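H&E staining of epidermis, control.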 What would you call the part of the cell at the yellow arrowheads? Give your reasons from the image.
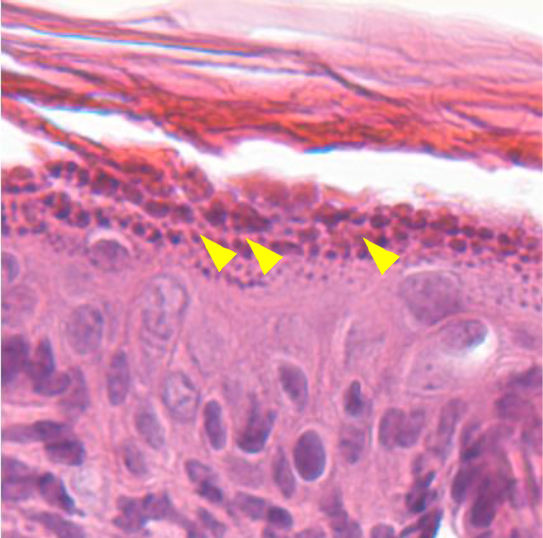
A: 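The arrowheads point to small, dark purple, coarse granules packed in a band of flattened cells. The granular band lies just beneath the pink, layered outermost sheets of the epidermis. Rounder, paler nucleated cells lie below the granular band. The answer: keratohyalin granules.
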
